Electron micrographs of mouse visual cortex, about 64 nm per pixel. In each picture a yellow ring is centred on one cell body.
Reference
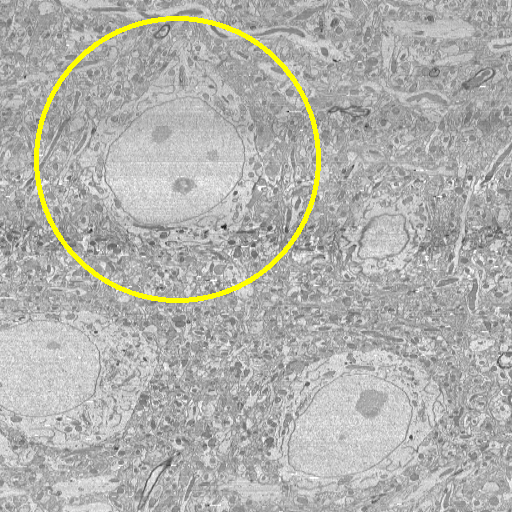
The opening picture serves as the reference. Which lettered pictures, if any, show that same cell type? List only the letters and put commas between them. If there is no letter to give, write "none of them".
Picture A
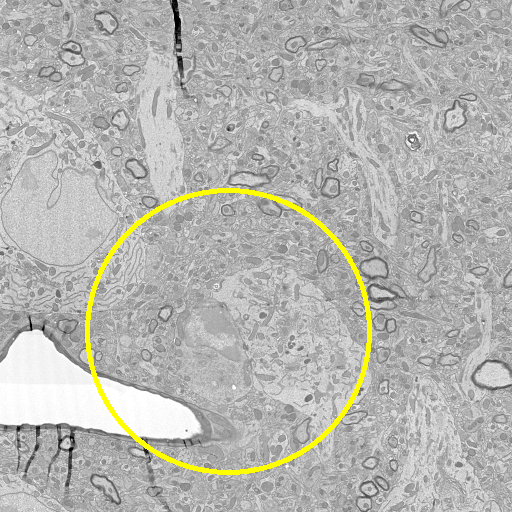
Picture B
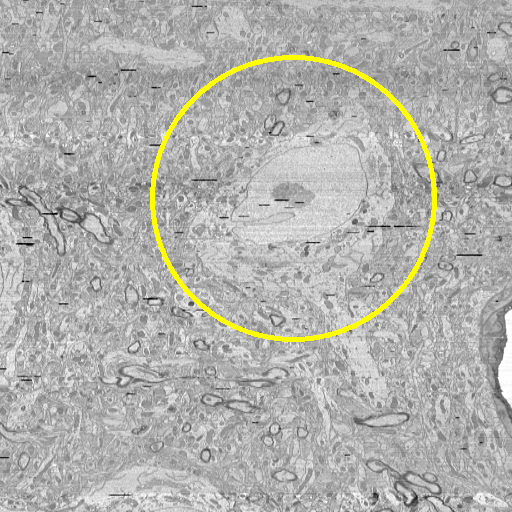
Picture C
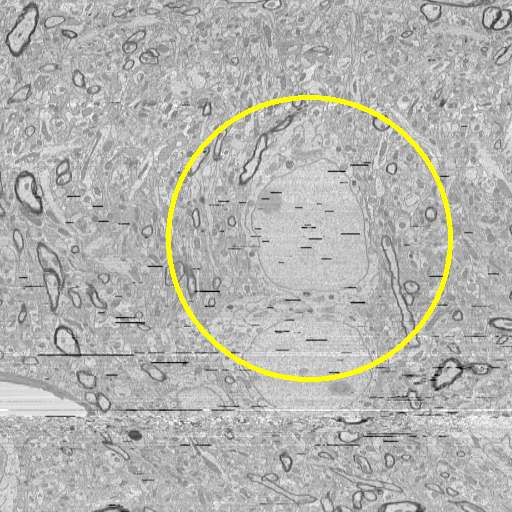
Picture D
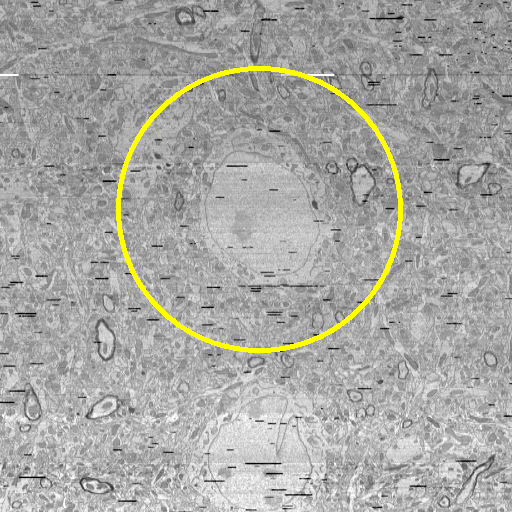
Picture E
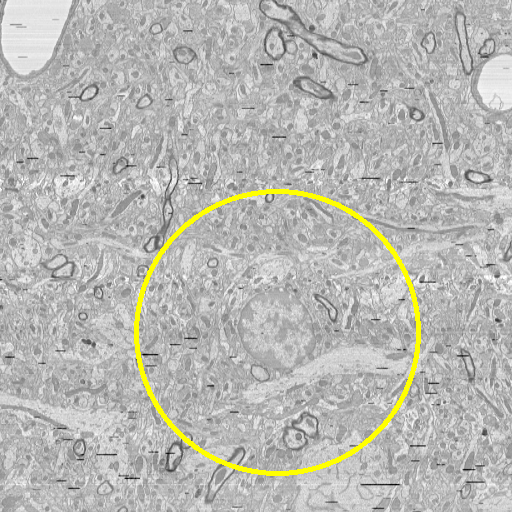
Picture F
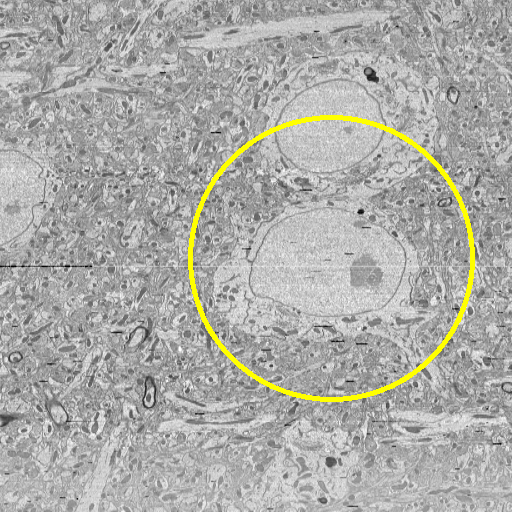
B, C, D, F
